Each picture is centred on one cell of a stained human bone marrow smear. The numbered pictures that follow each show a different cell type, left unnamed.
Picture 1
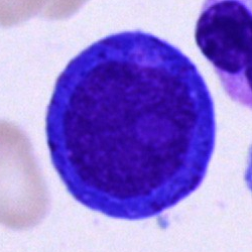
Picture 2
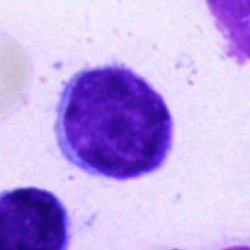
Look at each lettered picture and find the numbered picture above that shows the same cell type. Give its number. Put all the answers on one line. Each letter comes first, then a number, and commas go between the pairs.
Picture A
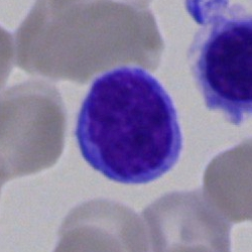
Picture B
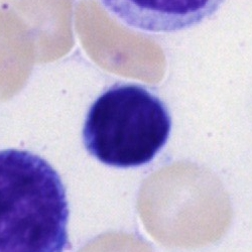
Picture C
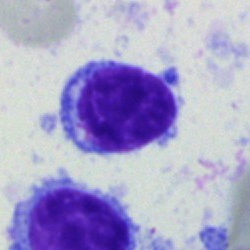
A 2, B 2, C 2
